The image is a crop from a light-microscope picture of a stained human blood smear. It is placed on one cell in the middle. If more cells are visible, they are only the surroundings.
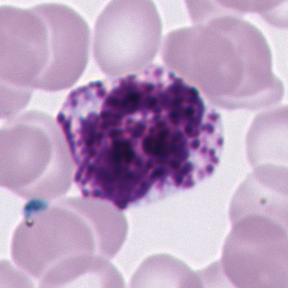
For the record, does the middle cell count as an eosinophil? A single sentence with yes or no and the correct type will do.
No, the cell placed in the centre is a basophil and is not an eosinophil.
